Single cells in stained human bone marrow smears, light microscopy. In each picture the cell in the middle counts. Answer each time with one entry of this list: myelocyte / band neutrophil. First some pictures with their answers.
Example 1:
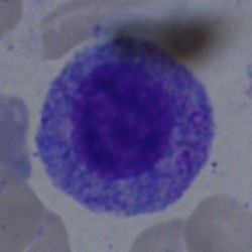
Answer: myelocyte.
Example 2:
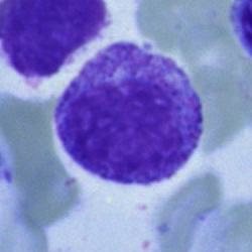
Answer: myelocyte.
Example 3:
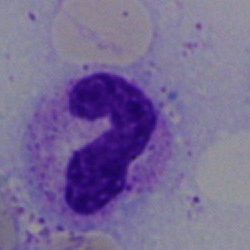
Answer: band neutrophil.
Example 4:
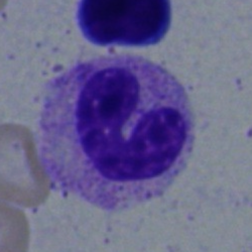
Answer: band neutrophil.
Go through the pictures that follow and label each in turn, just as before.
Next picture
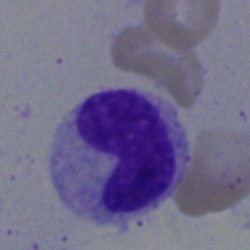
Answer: band neutrophil.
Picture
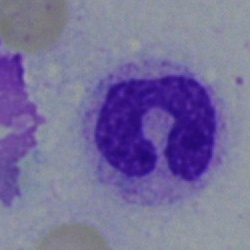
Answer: band neutrophil.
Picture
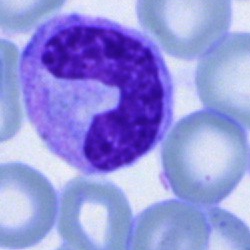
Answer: band neutrophil.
